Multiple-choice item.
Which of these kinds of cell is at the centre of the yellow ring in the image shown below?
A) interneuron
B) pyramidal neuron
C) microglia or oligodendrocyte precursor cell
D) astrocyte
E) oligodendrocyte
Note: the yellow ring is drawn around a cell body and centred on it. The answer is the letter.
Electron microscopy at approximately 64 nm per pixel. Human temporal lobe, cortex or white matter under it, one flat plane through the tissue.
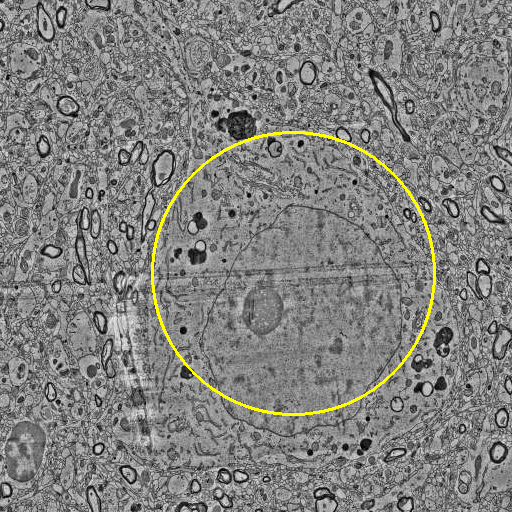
B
